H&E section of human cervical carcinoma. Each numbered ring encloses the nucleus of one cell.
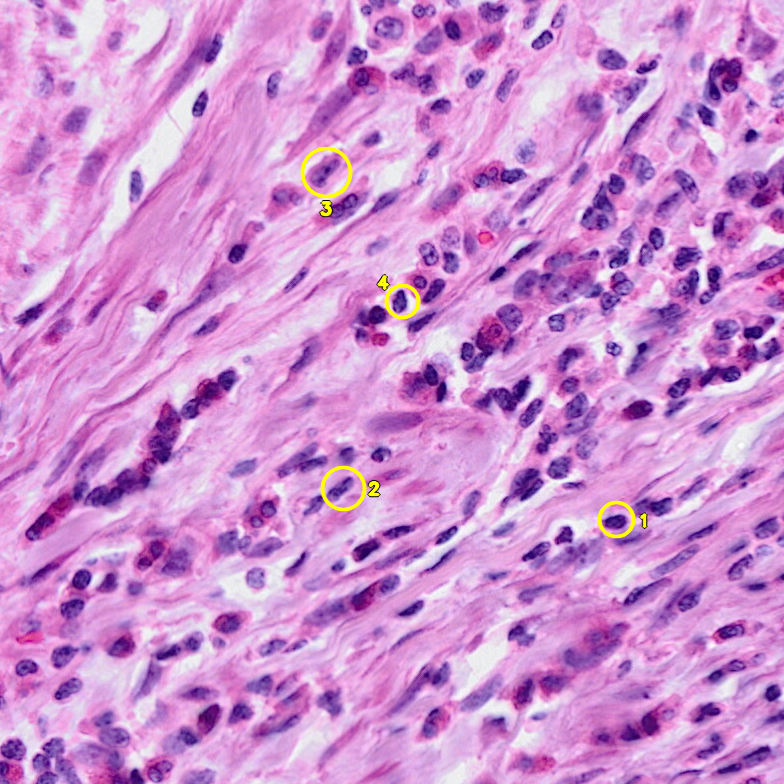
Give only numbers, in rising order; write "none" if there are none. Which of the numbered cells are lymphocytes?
1, 2, 4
